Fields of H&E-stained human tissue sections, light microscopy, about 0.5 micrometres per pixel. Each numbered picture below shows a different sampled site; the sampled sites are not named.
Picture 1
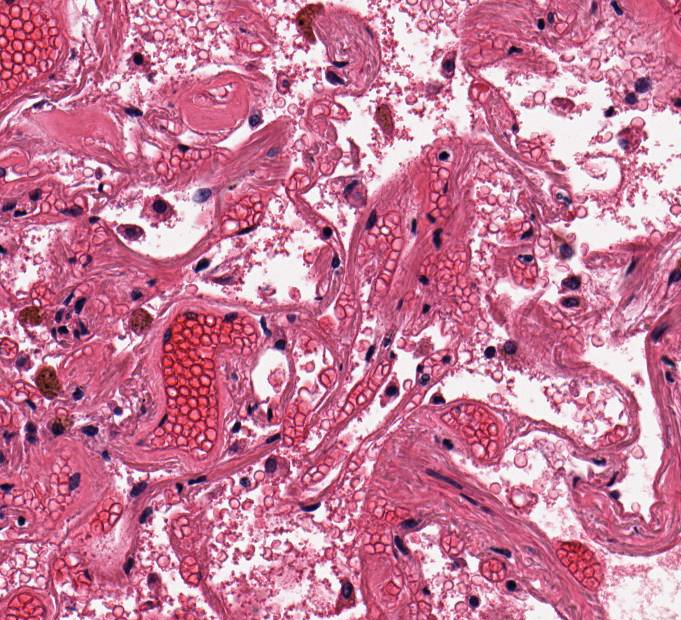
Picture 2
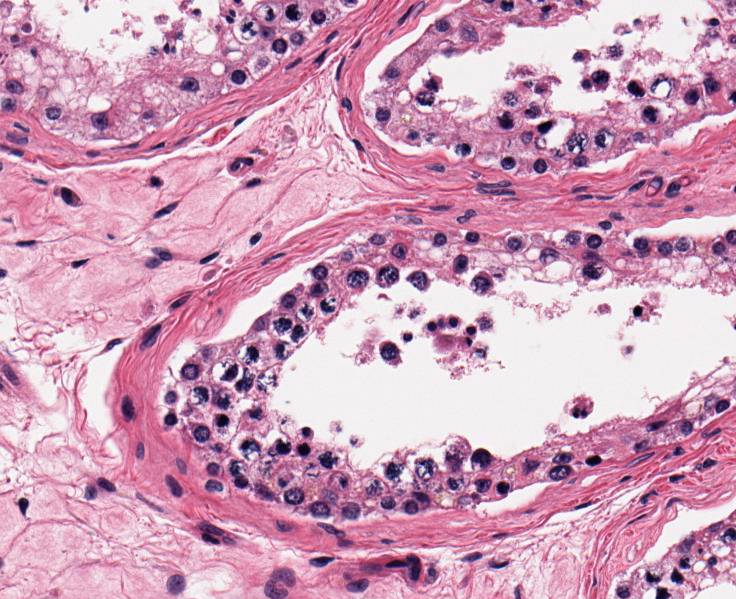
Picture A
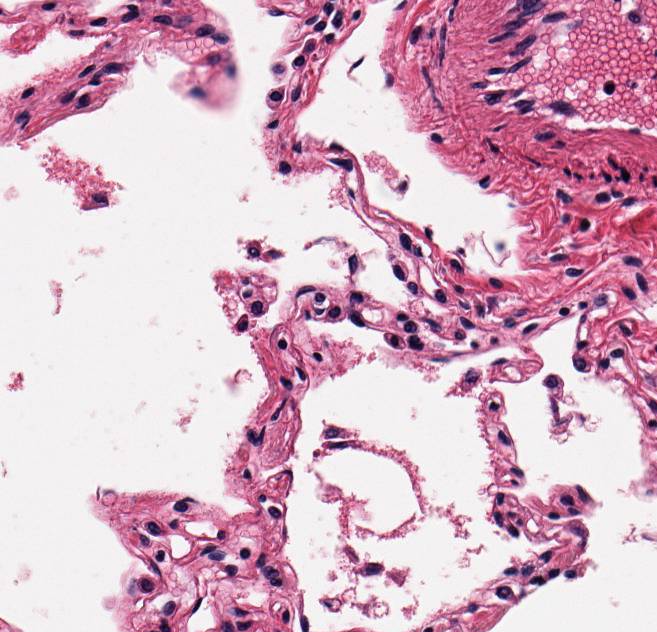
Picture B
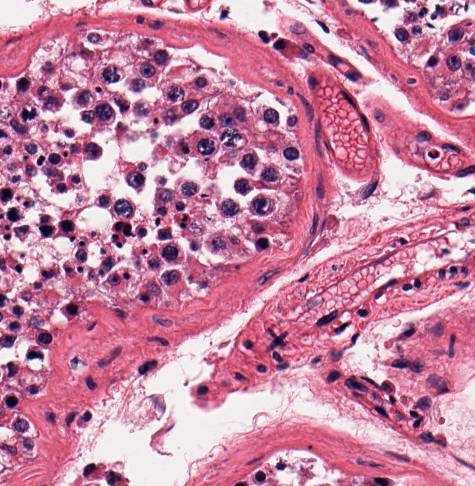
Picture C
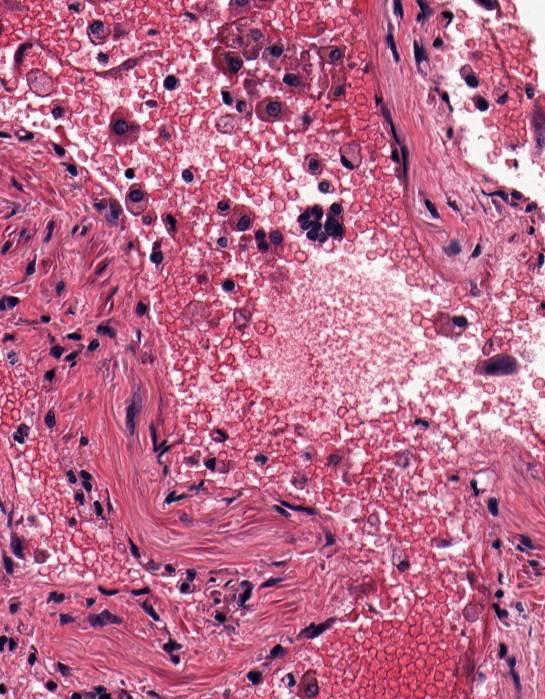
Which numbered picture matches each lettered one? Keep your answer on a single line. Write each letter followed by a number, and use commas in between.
A 1, B 2, C 1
